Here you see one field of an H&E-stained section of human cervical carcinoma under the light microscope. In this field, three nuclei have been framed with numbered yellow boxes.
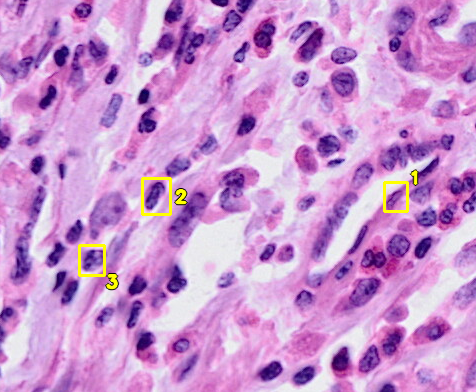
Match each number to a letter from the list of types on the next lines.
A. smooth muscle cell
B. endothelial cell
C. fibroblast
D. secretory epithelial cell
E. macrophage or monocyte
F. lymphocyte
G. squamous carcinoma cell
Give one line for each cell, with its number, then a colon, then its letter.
1: B
2: F
3: F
